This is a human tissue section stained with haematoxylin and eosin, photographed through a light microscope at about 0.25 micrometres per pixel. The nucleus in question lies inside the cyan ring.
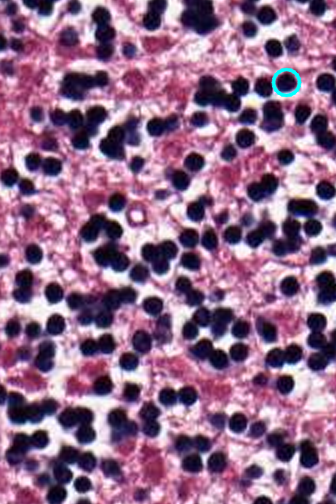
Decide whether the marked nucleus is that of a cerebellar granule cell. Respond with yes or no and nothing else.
yes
